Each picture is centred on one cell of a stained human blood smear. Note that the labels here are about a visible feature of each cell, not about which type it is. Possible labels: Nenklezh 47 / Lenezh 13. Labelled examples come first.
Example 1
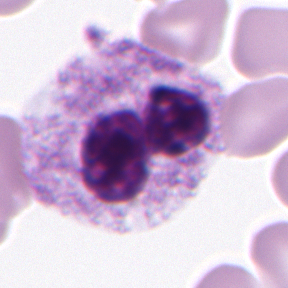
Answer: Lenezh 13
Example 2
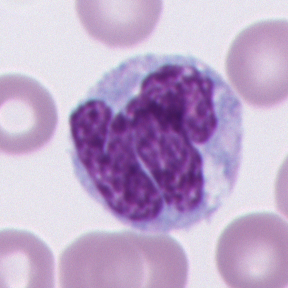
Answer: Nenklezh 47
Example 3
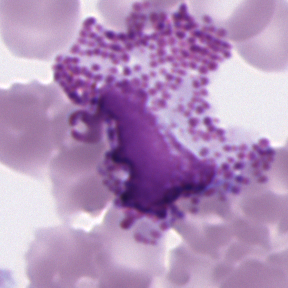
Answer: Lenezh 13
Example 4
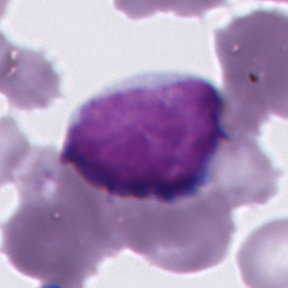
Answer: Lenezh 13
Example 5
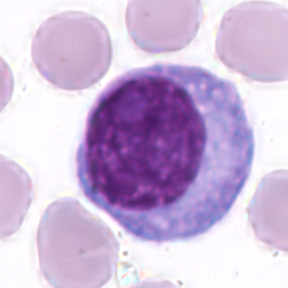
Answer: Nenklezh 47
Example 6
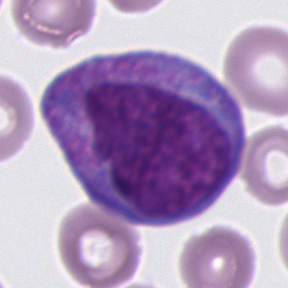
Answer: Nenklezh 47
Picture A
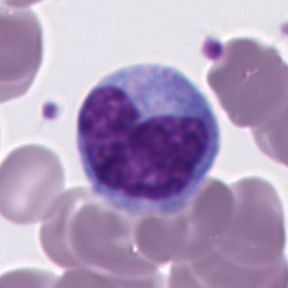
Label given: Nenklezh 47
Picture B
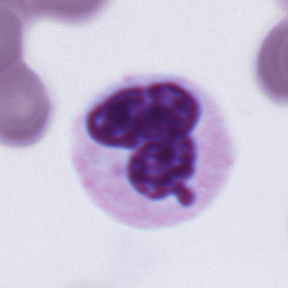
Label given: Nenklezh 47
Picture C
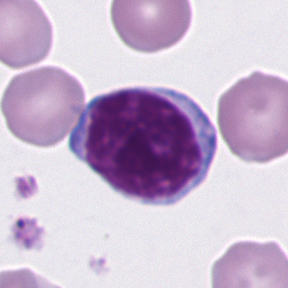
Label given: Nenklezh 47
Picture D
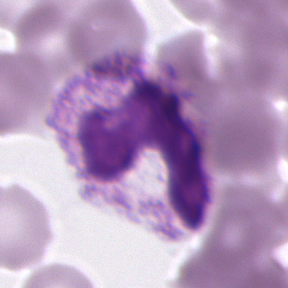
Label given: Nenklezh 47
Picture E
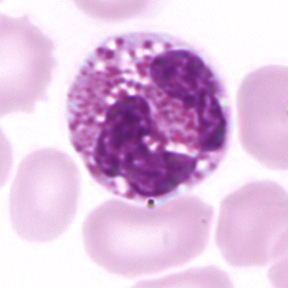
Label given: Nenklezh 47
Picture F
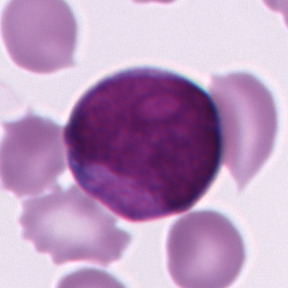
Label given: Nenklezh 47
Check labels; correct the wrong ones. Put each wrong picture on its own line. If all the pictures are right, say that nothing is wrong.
D: Lenezh 13, not Nenklezh 47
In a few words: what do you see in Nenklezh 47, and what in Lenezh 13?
In Nenklezh 47: smooth outline. In Lenezh 13: ragged outline or projections.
